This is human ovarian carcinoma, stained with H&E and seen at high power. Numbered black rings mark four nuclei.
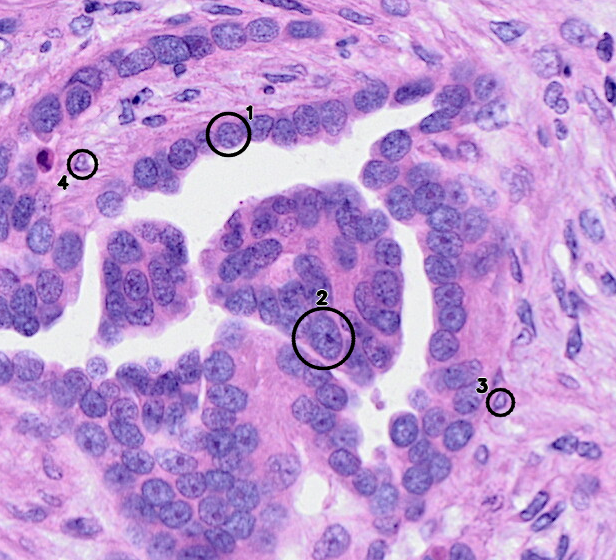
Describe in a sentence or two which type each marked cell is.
Cells 1 and 2 are carcinoma cells. Cells 3 and 4 are fibroblasts.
